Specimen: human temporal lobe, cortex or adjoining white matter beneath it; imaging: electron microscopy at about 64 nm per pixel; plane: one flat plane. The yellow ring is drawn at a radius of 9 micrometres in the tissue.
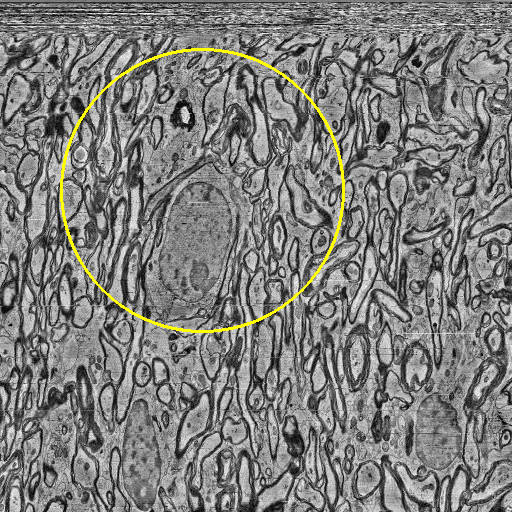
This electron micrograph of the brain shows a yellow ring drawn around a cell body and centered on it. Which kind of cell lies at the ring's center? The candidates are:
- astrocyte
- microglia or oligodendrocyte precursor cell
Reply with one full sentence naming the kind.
The cell lying at the ring's center in this micrograph is an astrocyte.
